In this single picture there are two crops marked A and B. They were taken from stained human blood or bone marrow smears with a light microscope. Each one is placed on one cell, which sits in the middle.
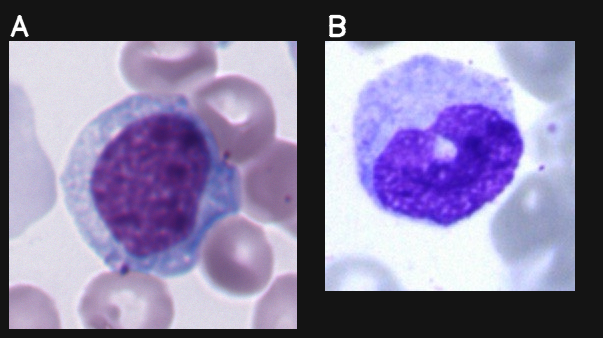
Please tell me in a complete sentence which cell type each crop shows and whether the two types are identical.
No, on this set crop A shows a promyelocyte and crop B shows a monocyte.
